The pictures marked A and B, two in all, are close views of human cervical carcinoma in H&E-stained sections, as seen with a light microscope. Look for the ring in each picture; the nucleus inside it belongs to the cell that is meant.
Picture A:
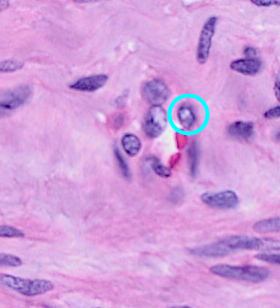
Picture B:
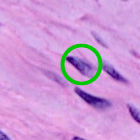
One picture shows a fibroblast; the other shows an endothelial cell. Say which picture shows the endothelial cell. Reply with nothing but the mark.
A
